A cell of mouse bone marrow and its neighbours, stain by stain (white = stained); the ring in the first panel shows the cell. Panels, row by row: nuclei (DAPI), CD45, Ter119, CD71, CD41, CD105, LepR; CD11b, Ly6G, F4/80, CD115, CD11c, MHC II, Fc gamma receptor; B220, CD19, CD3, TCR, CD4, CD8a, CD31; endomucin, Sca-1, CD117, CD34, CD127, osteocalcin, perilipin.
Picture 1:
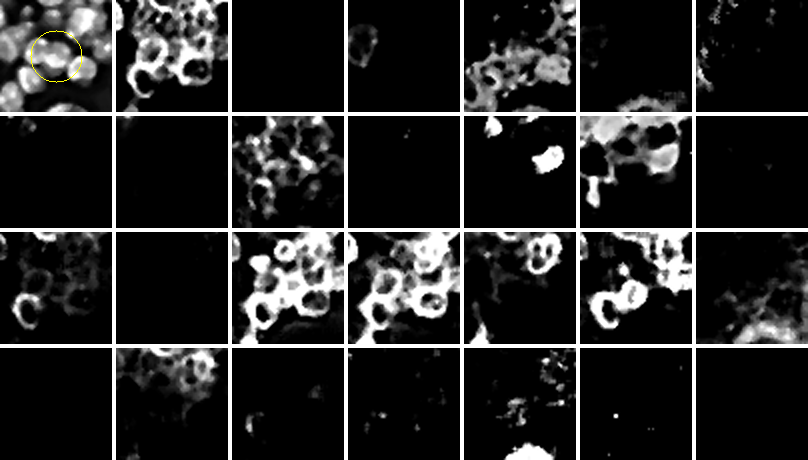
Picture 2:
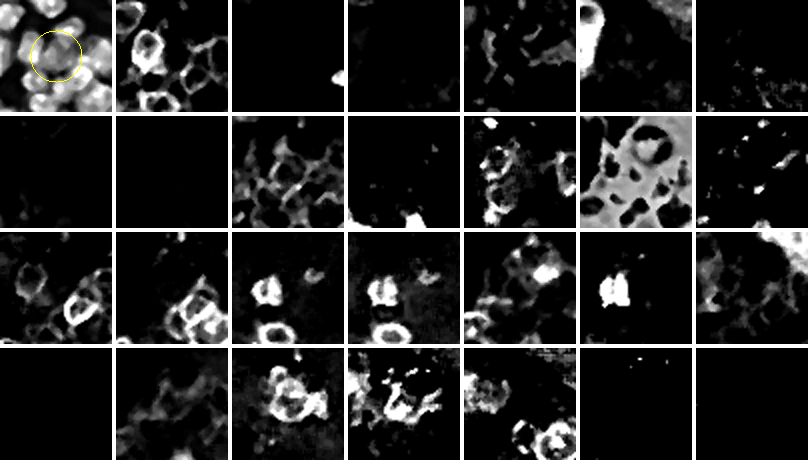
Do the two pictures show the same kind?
No: a CD8 T cell, then a common myeloid progenitor.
